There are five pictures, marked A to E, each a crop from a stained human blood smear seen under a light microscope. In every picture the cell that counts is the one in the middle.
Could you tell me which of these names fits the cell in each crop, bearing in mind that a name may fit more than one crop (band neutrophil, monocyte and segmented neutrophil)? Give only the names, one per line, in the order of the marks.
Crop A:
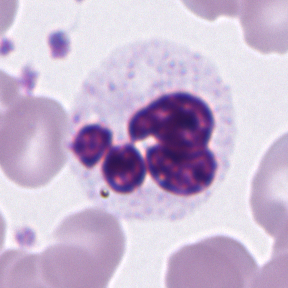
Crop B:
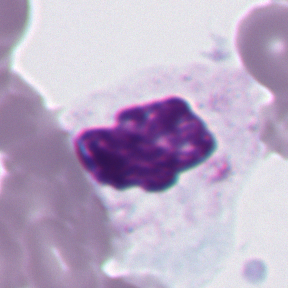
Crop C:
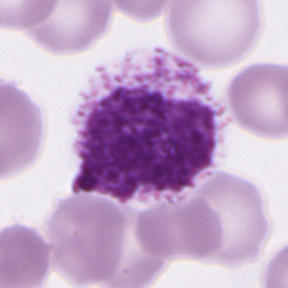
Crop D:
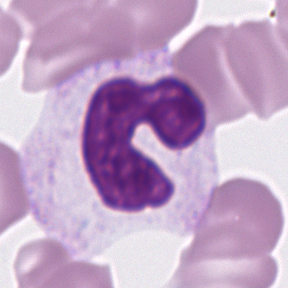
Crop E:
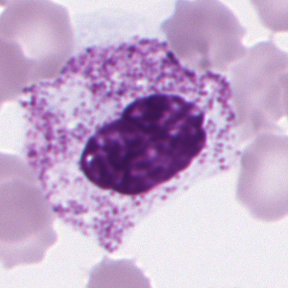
segmented neutrophil
segmented neutrophil
band neutrophil
band neutrophil
band neutrophil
